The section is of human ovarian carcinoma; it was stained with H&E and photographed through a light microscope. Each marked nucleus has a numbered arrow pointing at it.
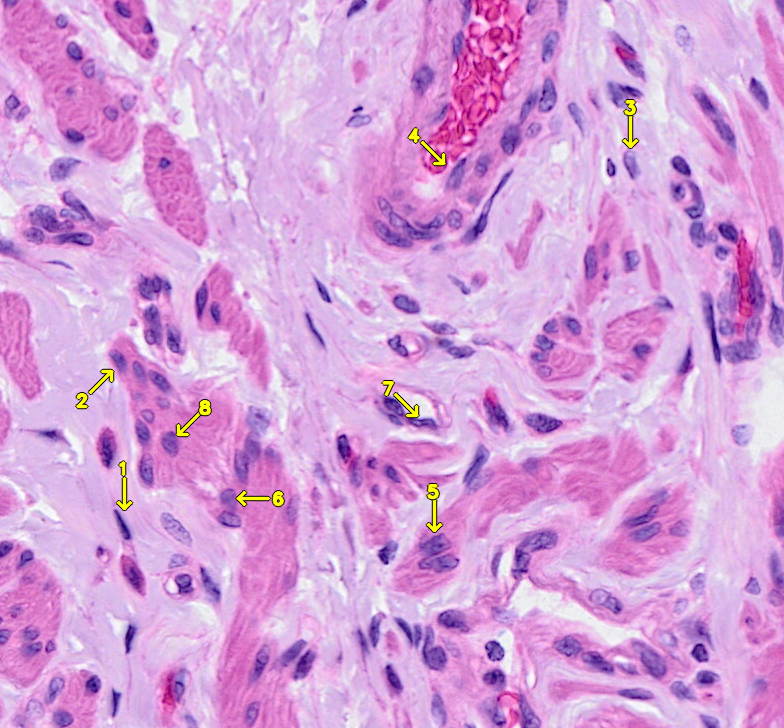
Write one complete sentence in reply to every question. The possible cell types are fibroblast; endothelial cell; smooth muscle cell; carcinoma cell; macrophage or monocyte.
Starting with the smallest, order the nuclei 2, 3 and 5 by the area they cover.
From smallest to largest, the order is 2, 3, 5.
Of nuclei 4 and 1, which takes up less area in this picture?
Number 1 is smaller, since number 4 takes up about 2 times as much area.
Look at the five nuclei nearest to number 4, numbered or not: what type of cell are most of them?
Smooth muscle cells make up most of the five nuclei closest to number 4.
